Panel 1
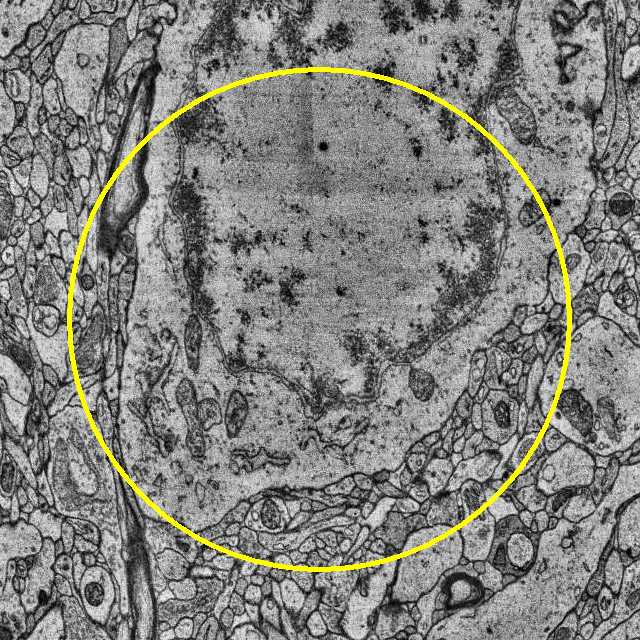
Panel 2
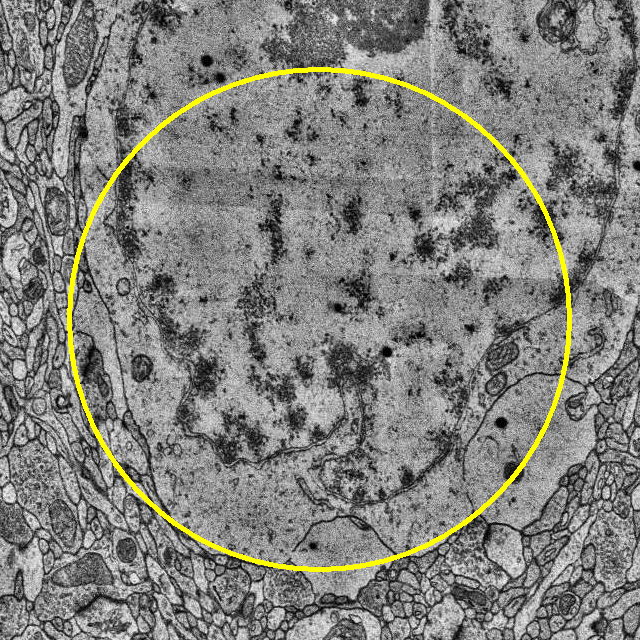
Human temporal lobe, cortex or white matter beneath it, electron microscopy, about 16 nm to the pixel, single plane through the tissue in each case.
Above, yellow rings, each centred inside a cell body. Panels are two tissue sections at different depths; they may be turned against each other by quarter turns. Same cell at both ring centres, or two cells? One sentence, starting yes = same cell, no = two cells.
Yes, one cell accounts for both of the yellow rings.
